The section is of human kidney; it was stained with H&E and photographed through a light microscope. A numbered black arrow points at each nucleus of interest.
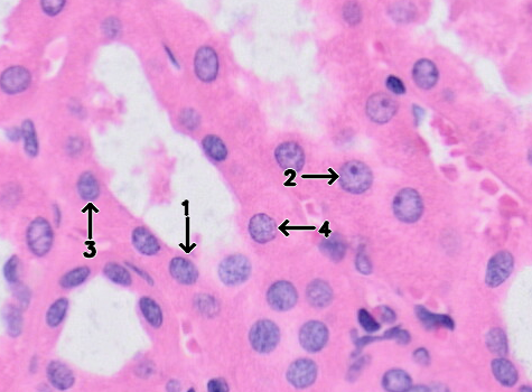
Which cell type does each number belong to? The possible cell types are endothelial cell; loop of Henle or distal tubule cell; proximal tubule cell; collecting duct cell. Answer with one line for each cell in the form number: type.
1: loop of Henle or distal tubule cell
2: proximal tubule cell
3: loop of Henle or distal tubule cell
4: loop of Henle or distal tubule cell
